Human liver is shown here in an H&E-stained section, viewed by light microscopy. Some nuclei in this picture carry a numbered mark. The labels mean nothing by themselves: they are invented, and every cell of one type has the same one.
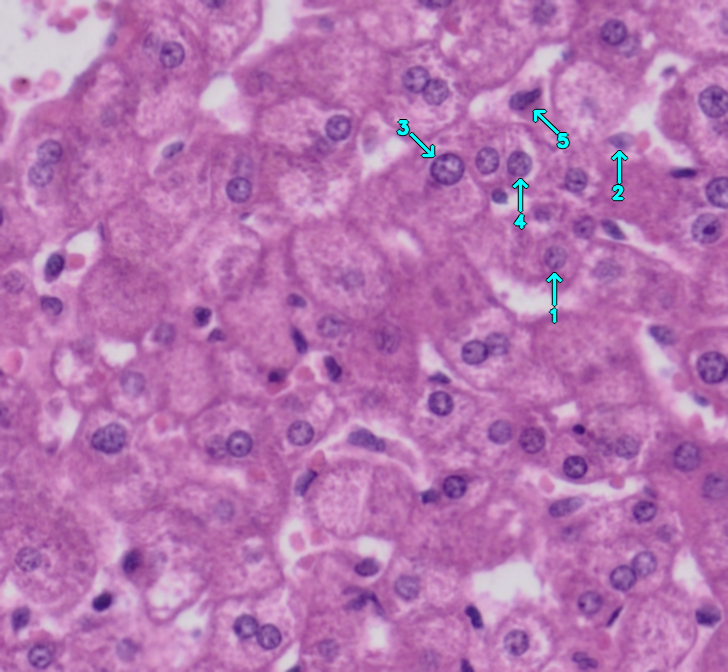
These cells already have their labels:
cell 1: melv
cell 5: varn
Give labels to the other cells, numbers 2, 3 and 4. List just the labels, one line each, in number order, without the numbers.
varn
melv
melv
